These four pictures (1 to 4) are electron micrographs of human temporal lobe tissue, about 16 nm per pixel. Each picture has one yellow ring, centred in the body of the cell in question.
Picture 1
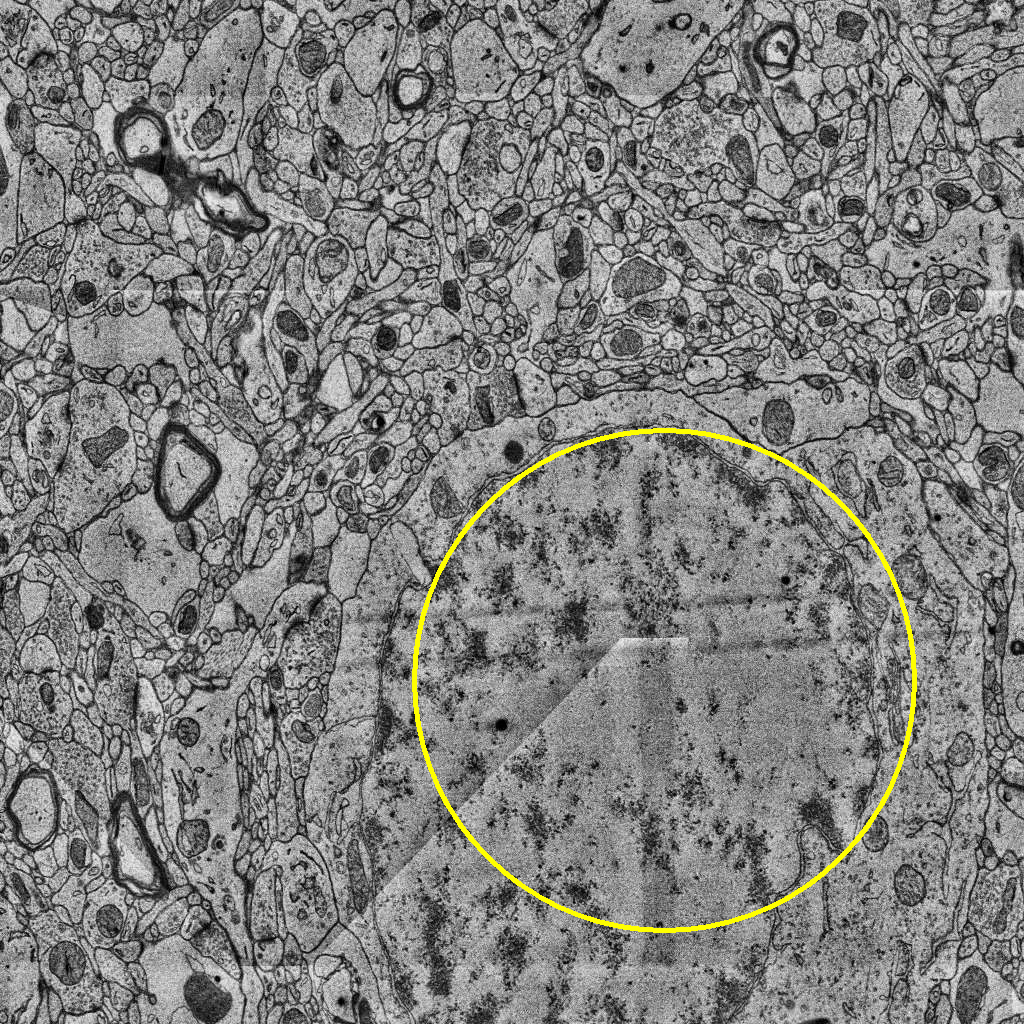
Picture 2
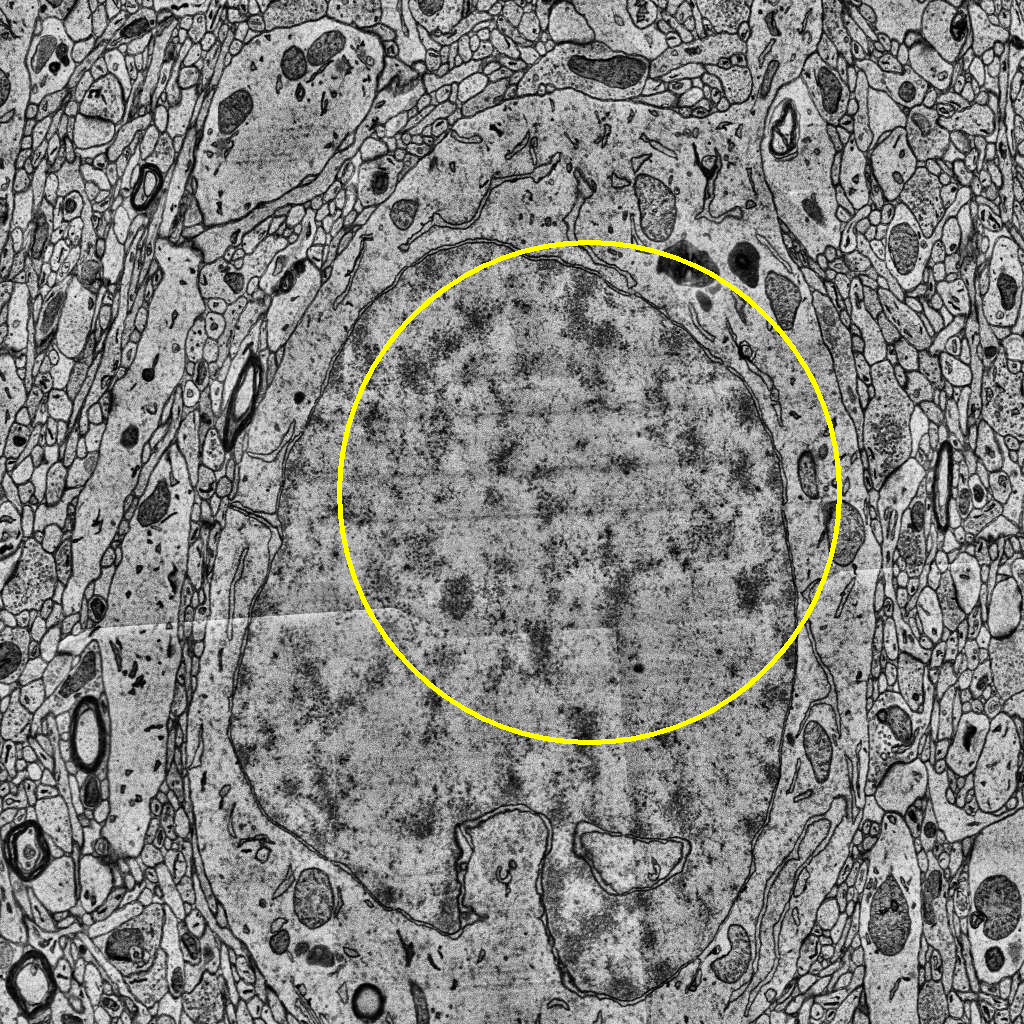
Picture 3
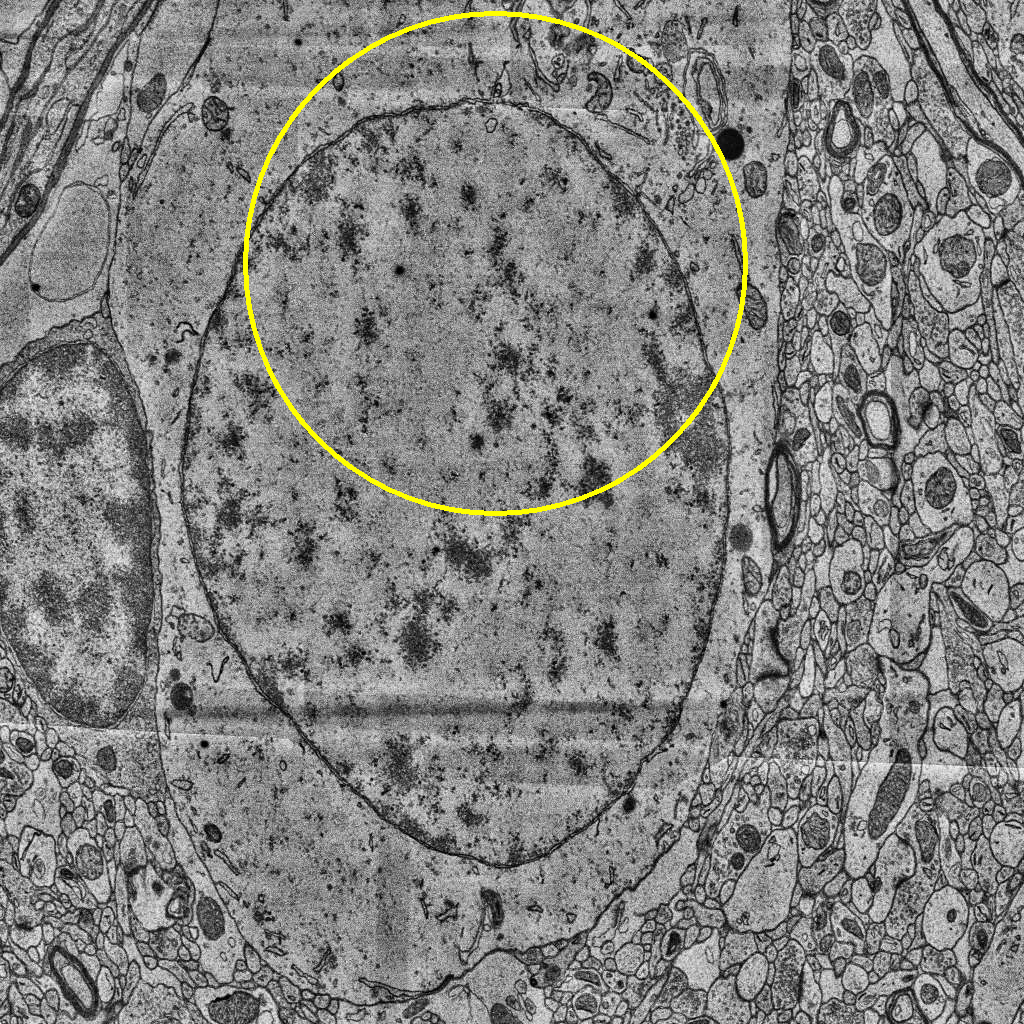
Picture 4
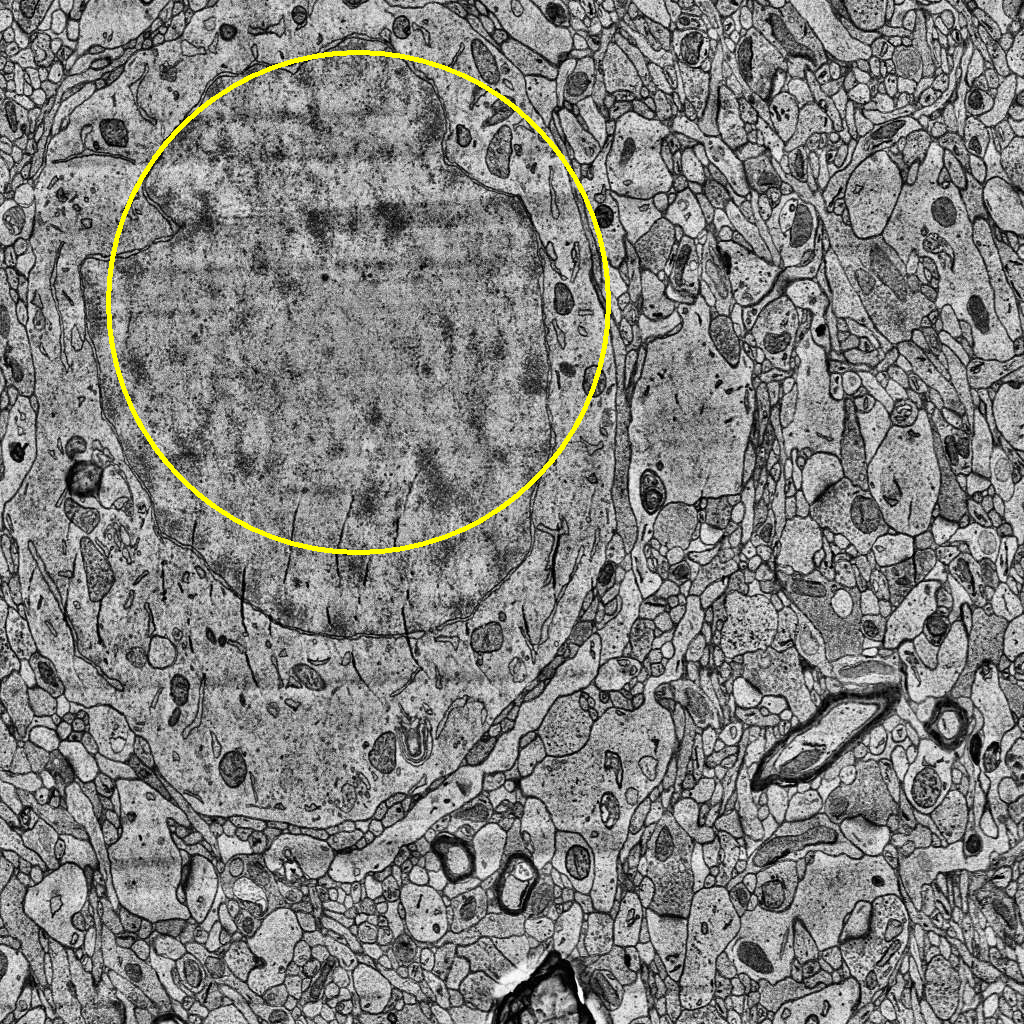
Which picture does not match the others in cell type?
The different one is picture 3; it shows a pyramidal neuron, whereas all the others show interneurons.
